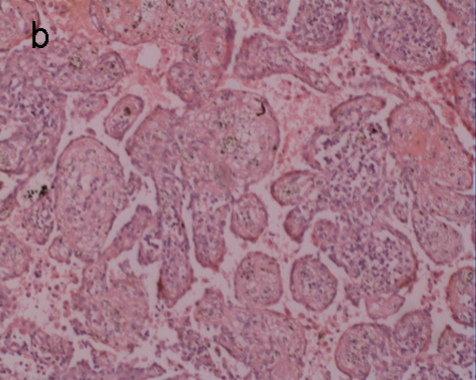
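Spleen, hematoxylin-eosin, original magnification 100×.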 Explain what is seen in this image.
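This section of a splenic lesion shows many irregular, anastomosing vascular spaces. Rounded clusters of cells lie free within the channels. The clusters have pink cytoplasm and purple nuclei, and some contain small dark brown granules. Scattered red cells and pale pink proteinaceous material lie in the spaces. The overall pattern is a sponge-like network of vessels rather than the usual arrangement of splenic red and white pulp.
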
